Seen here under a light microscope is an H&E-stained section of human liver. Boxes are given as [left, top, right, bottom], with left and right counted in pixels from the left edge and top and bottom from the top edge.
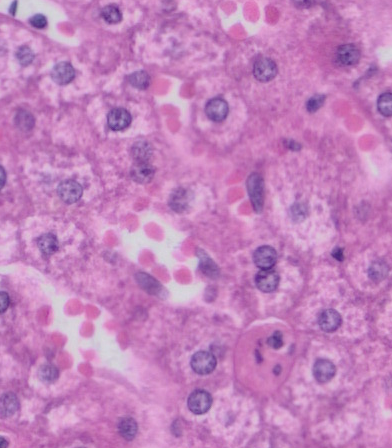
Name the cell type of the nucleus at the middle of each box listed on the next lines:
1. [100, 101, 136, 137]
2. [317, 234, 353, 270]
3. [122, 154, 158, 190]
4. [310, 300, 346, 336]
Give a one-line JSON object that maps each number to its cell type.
{"1": "hepatocyte", "2": "fibroblast or stellate cell", "3": "hepatocyte", "4": "hepatocyte"}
